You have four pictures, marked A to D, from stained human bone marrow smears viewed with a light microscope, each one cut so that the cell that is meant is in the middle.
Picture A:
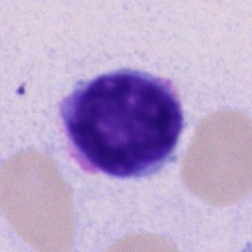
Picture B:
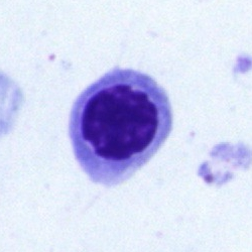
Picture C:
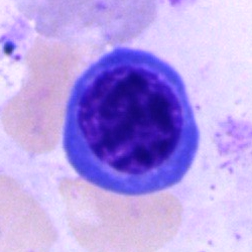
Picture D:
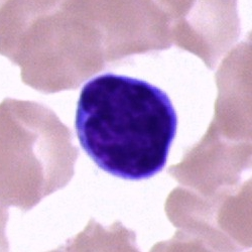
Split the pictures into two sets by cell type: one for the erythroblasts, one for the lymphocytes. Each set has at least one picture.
A: lymphocyte
B: erythroblast
C: erythroblast
D: lymphocyte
